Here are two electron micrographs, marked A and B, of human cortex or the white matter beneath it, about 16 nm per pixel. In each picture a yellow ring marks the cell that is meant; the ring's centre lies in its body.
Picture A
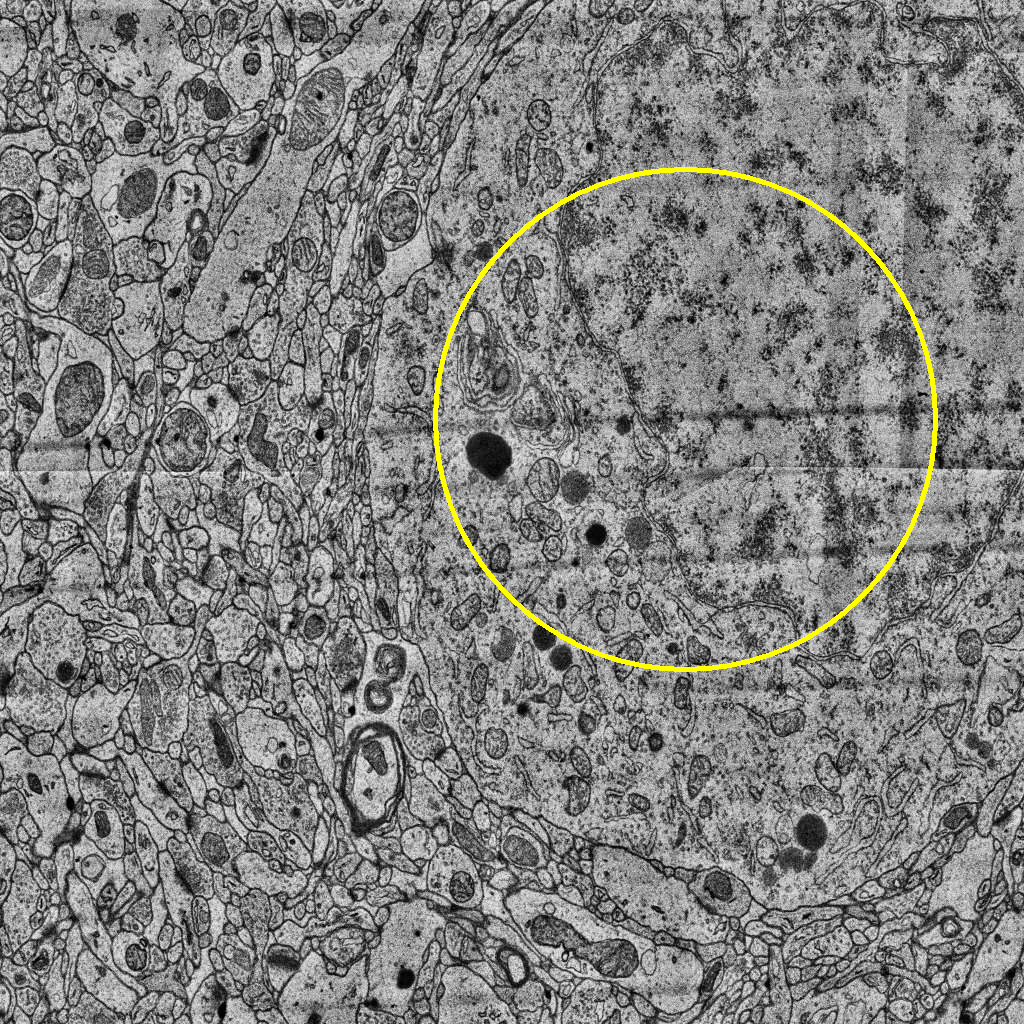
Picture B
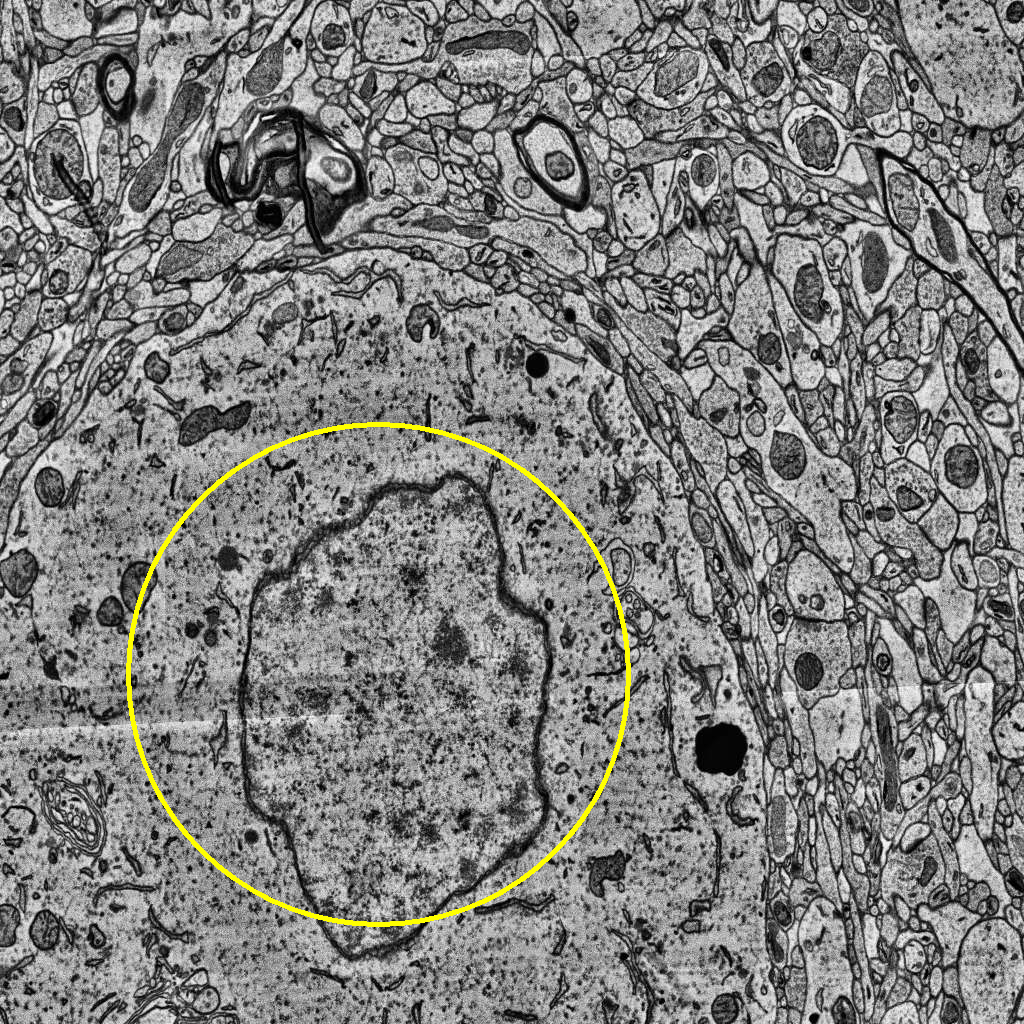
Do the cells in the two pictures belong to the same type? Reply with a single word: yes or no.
no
